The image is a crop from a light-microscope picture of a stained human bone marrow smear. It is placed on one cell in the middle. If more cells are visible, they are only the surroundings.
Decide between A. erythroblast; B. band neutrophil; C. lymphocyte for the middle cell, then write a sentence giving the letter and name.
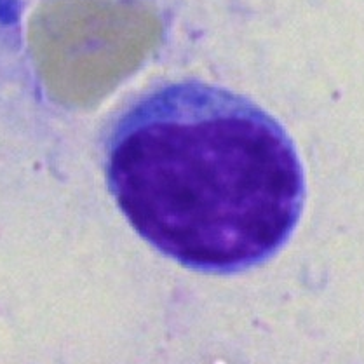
Option C is the correct one; it names the central cell as a lymphocyte.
